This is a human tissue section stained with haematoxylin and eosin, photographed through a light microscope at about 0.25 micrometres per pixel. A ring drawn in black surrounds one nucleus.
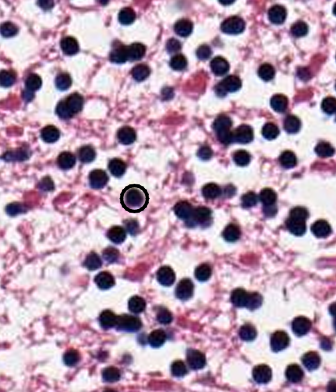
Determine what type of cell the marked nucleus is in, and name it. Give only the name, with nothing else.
cerebellar granule cell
